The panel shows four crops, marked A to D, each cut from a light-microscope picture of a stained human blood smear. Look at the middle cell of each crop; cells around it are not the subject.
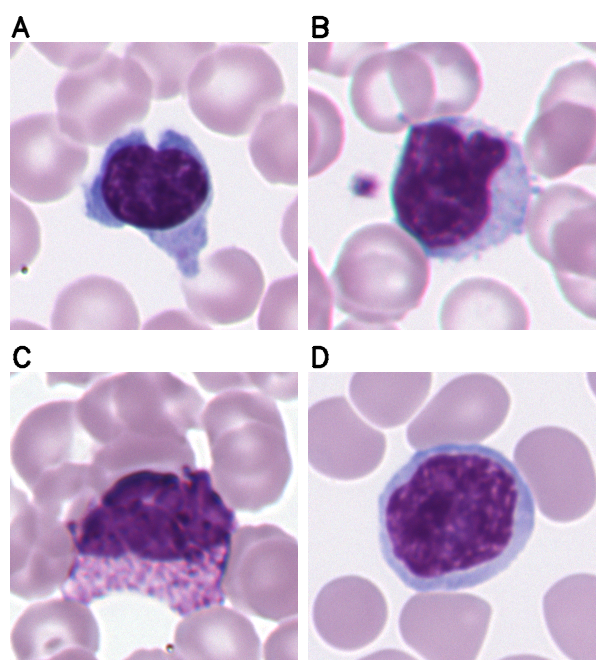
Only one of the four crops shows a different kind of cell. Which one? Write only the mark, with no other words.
C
